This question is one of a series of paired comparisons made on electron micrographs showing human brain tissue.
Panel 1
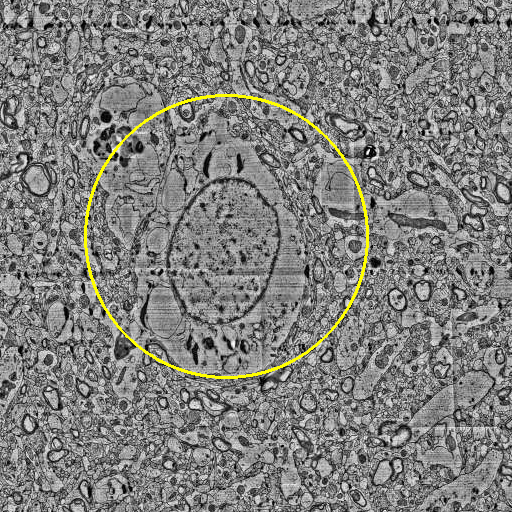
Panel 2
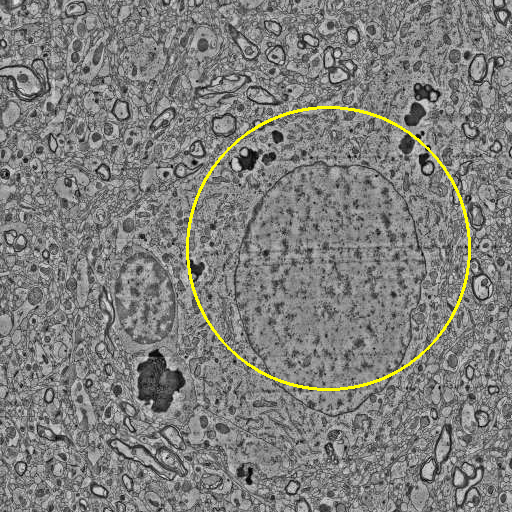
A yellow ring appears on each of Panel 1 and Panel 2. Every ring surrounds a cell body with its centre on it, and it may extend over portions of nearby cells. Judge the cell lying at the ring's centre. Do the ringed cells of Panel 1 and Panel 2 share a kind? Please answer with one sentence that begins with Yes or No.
No, the ring-centre cell in Panel 1 and the one in Panel 2 are of two kinds.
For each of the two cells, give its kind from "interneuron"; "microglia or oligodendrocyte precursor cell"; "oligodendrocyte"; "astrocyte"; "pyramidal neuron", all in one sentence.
The first picture has an astrocyte in its ring, the second has a pyramidal neuron.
